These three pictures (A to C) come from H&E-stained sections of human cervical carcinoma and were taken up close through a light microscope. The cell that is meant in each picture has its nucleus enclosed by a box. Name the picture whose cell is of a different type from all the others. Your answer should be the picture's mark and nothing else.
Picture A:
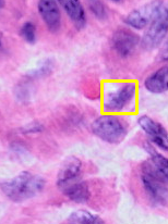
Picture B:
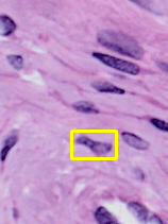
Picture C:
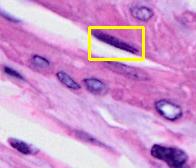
B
